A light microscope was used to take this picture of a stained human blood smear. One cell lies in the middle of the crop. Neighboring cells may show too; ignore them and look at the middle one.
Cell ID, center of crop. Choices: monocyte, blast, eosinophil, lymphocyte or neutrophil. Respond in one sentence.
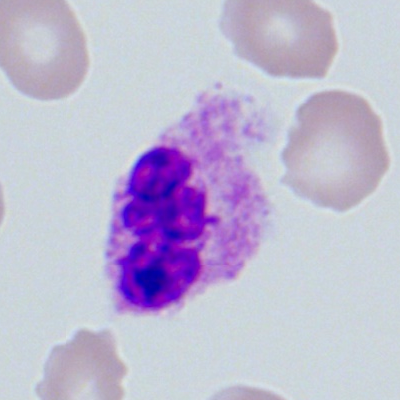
Positioned in the middle of the crop is a neutrophil.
